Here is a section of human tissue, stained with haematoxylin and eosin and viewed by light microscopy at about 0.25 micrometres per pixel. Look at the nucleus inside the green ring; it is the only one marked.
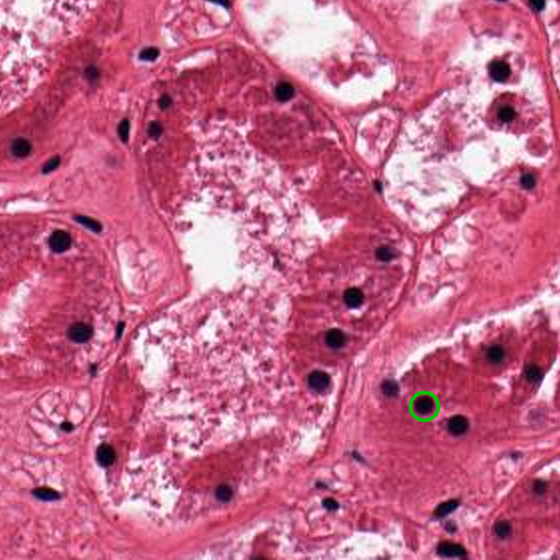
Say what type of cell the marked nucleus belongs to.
proximal tubule cell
